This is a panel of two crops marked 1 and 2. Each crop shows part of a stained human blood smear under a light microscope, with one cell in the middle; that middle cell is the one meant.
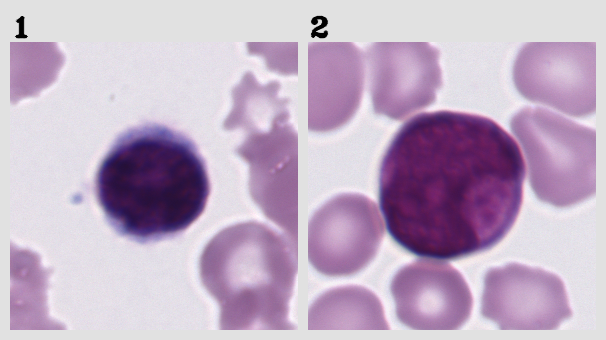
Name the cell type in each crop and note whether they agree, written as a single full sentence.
No, crop 1 shows a hairy cell, whereas in crop 2 the cell is a myeloblast.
